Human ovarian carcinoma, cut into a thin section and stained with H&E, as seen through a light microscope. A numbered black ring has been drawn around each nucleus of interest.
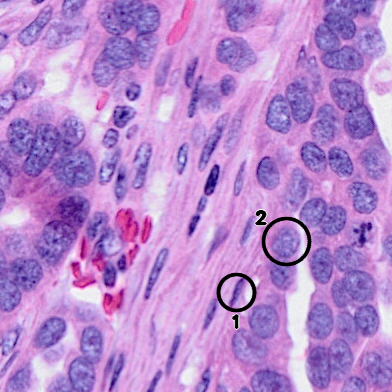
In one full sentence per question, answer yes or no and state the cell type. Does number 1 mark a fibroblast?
Yes, the cell that is numbered 1 is a fibroblast.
